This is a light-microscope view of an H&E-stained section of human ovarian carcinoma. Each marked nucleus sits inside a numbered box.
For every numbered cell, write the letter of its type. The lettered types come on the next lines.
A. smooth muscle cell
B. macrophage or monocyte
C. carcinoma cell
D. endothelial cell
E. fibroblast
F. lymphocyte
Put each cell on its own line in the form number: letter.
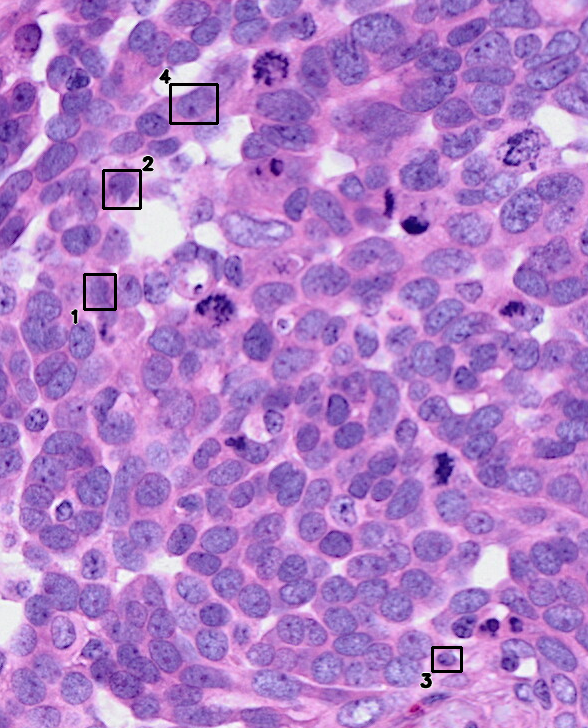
1: C
2: C
3: B
4: C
